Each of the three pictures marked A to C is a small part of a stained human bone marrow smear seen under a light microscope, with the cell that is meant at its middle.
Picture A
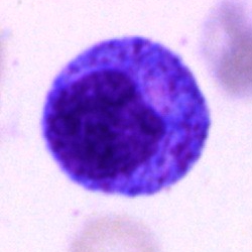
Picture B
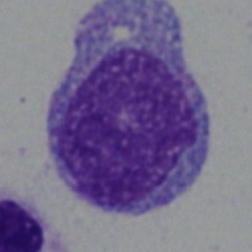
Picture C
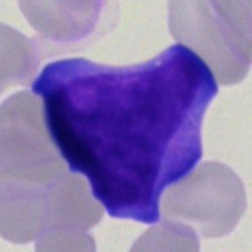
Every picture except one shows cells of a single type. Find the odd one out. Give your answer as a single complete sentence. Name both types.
All pictures except C show promyelocytes; picture C shows a blast.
